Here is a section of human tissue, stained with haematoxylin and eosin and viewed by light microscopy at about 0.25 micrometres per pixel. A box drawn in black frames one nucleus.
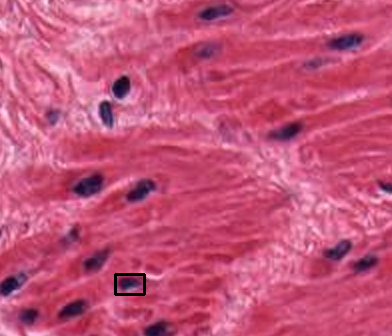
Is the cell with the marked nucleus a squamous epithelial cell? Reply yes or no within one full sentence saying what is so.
No, on this slide the marked nucleus is not from a squamous epithelial cell.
